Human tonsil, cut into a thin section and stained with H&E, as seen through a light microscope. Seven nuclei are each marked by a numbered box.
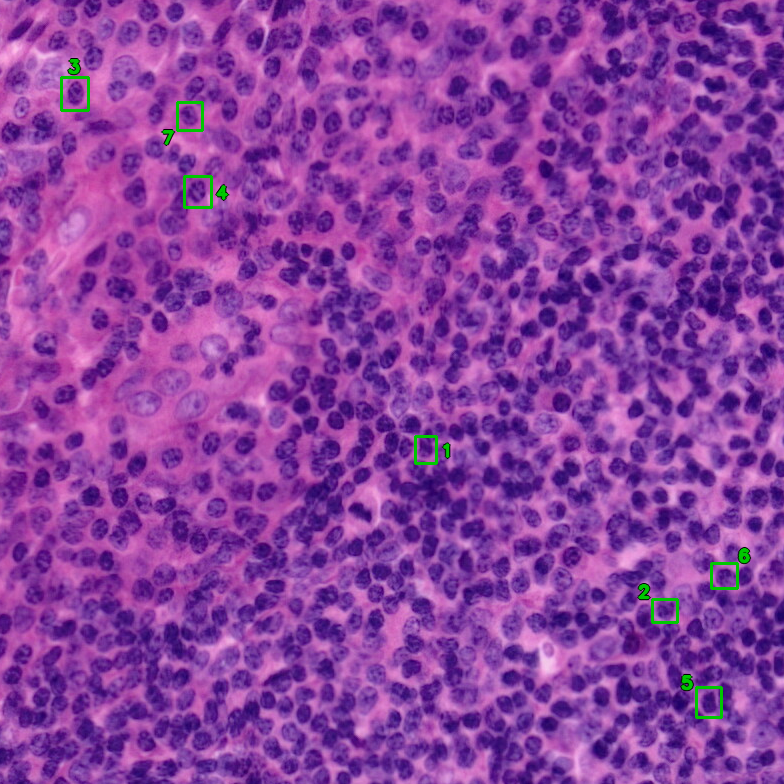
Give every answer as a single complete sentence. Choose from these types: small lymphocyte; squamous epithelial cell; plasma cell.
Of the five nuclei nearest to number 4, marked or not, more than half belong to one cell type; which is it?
Most of the five nuclei nearest to number 4 are those of squamous epithelial cells.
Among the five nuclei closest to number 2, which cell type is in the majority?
Around number 2, most of the five nearest nuclei are those of small lymphocytes.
